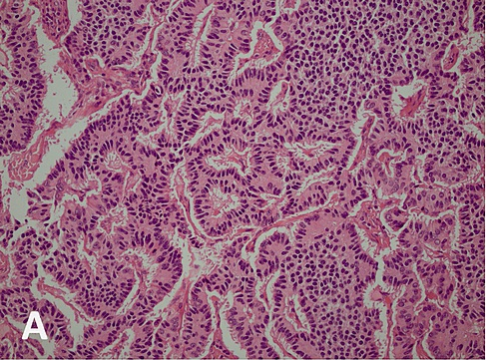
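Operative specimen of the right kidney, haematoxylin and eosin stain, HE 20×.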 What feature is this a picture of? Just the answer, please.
trabecular and rosette-like patterns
